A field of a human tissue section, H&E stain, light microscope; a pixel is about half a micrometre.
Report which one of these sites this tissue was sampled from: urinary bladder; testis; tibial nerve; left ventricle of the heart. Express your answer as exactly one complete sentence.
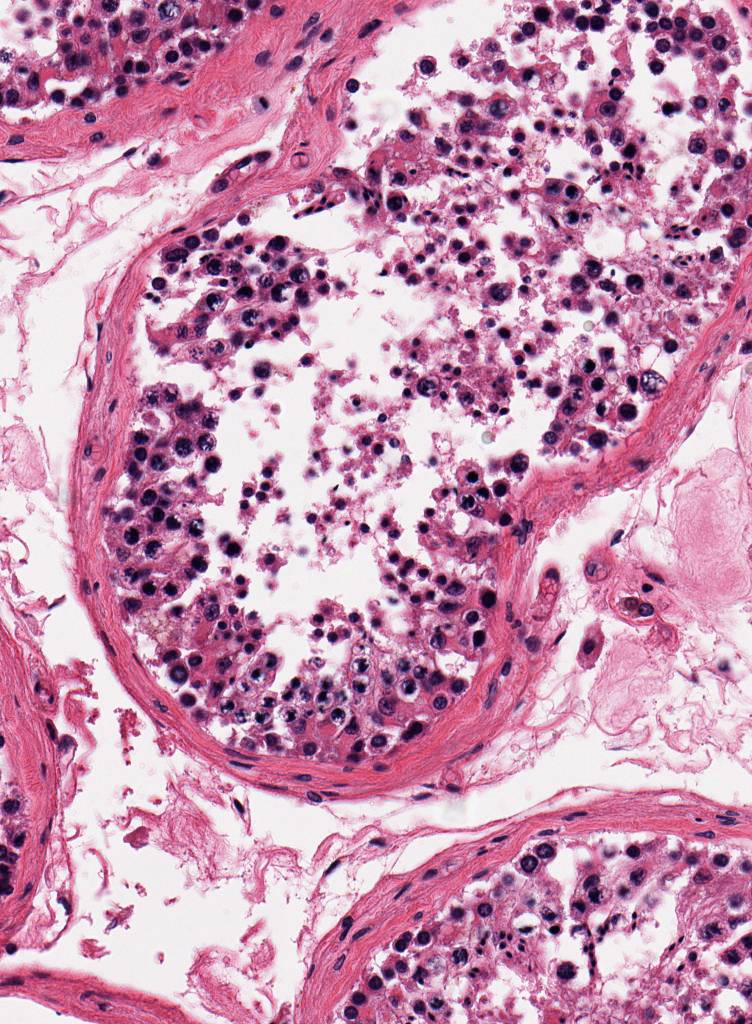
The section was made from a sample of the testis.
